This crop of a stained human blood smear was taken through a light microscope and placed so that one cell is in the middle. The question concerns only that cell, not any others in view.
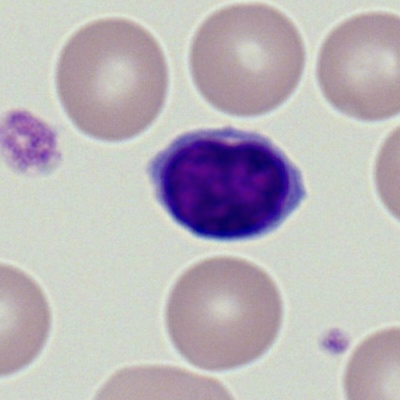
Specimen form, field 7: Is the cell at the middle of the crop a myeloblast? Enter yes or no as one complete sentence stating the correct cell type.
No, the correct answer for the middle cell is a lymphocyte, not a myeloblast.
